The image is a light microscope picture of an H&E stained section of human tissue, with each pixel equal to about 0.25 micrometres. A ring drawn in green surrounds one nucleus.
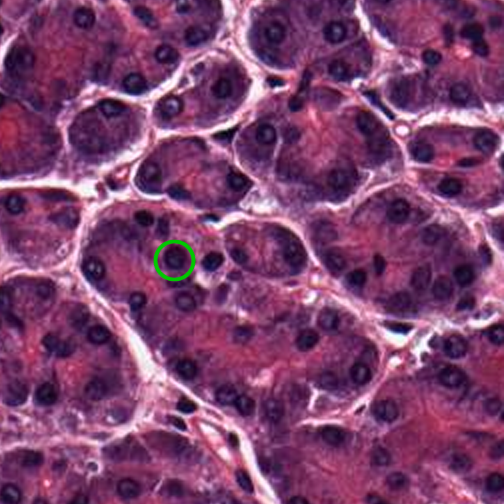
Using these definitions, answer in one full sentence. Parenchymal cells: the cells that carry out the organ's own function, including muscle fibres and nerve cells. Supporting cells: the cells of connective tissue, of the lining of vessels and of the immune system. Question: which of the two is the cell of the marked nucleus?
The marked nucleus lies within a parenchymal cell, which is a pancreatic acinar cell.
